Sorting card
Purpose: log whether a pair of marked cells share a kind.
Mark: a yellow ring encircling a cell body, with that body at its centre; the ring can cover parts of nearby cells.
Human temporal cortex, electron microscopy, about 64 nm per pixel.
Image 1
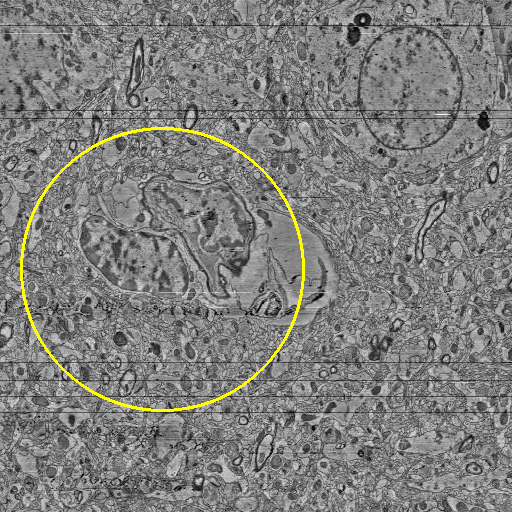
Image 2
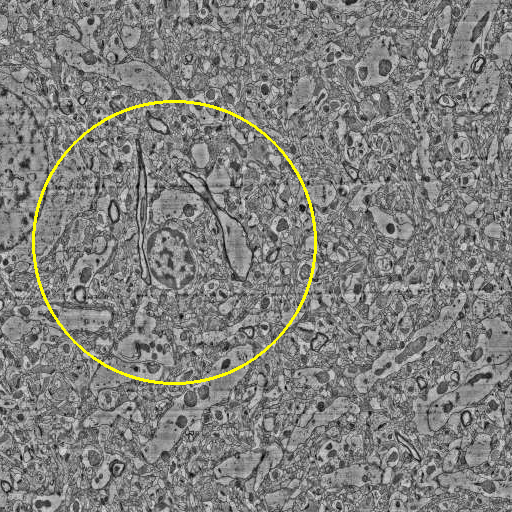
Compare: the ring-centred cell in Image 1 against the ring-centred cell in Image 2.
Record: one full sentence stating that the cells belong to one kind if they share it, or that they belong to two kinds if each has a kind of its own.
Across Images 1 and 2, the two ring-centred cells belong to one kind.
